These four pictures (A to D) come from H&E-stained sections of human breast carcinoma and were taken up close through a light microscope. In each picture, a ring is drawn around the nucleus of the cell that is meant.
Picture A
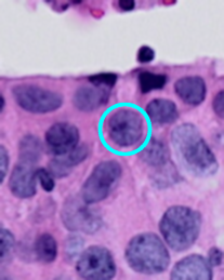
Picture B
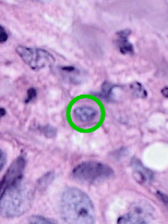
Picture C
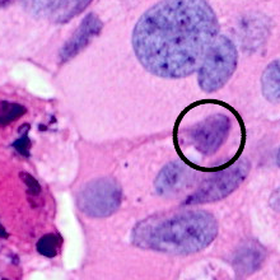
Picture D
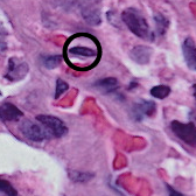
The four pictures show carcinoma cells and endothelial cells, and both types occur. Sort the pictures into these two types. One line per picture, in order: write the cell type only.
carcinoma cell
endothelial cell
carcinoma cell
endothelial cell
